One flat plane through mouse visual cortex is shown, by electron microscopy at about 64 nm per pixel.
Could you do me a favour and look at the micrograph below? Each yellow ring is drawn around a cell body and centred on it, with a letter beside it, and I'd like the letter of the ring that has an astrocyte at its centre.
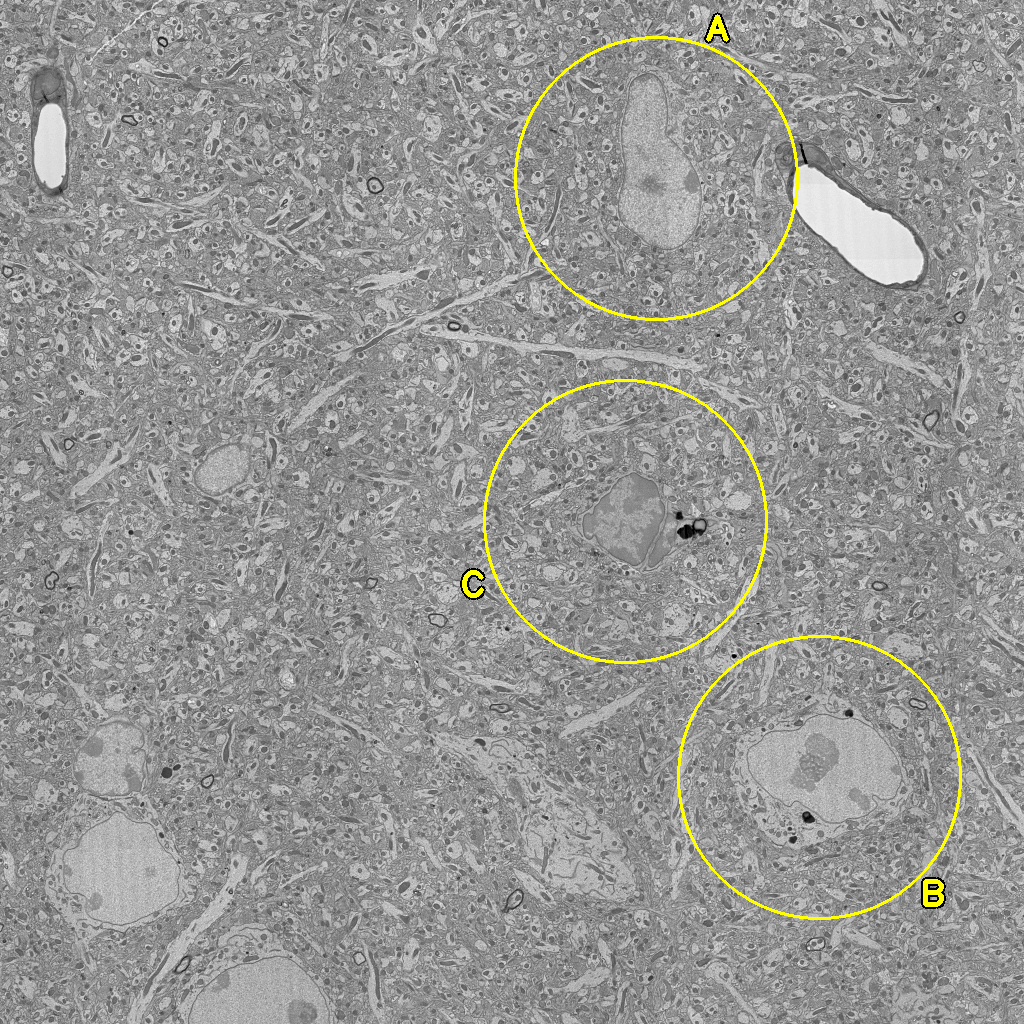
A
